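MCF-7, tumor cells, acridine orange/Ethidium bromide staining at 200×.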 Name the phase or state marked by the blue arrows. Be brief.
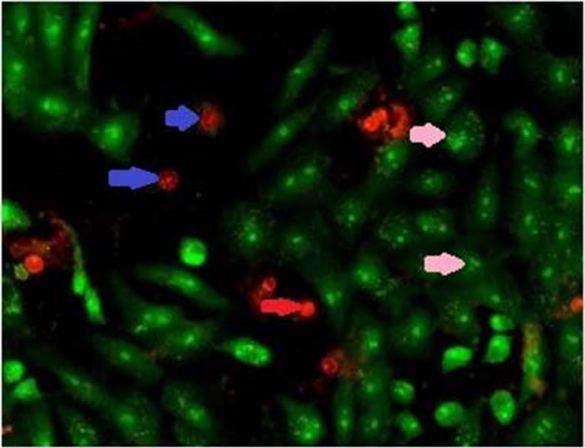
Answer: Late apoptotic cells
